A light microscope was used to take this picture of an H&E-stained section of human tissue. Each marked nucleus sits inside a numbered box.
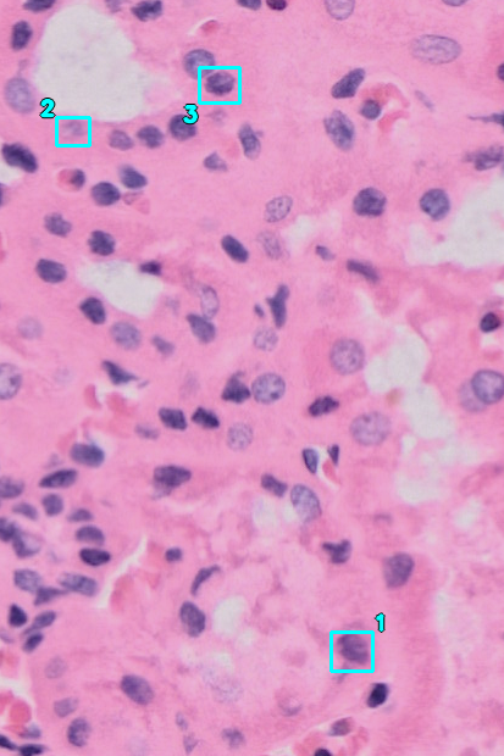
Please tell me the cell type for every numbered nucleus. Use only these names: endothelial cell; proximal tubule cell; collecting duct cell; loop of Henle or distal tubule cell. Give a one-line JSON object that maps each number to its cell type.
{"1": "proximal tubule cell", "2": "loop of Henle or distal tubule cell", "3": "loop of Henle or distal tubule cell"}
